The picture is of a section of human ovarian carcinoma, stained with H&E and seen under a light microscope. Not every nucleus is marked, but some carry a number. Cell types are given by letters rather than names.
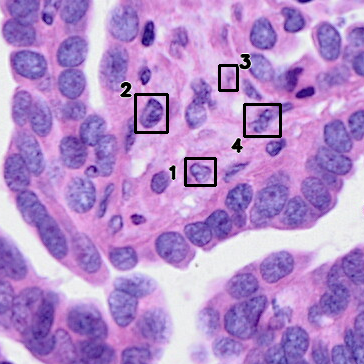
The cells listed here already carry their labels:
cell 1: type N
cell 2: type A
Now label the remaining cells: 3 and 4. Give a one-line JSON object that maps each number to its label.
{"3": "type N", "4": "type N"}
